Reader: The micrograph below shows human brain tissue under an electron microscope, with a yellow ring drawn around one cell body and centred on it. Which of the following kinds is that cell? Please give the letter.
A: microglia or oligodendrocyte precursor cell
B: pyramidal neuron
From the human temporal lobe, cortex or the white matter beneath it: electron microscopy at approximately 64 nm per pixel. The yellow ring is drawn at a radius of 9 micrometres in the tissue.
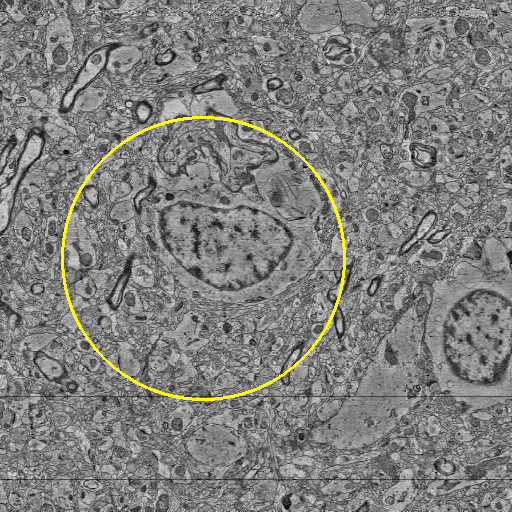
A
